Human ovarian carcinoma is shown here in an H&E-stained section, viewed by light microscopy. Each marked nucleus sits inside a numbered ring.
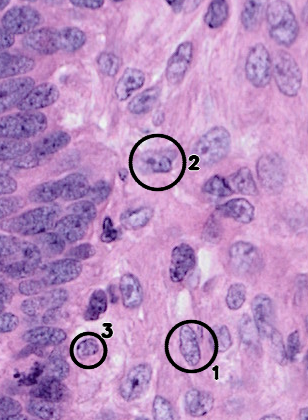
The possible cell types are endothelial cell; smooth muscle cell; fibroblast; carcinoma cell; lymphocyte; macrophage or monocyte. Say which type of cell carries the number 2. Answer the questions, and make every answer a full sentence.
Within this field of view, the cell labelled 2 is a fibroblast.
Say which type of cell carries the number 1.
The cell to which the number 1 is assigned is a fibroblast.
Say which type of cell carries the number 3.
Number 3 among the marked cells is a macrophage or monocyte.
